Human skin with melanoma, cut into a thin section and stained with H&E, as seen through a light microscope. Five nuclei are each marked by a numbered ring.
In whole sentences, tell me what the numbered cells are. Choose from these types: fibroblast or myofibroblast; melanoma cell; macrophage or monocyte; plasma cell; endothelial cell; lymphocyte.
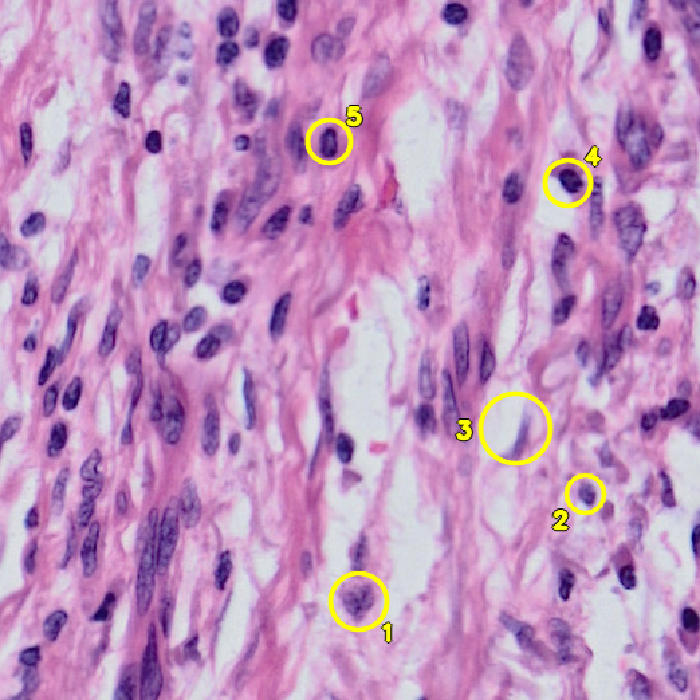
Cell 1 is a macrophage or monocyte, cell 2 is a plasma cell, cell 3 is a fibroblast or myofibroblast, cell 4 is a plasma cell and cell 5 is a plasma cell.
